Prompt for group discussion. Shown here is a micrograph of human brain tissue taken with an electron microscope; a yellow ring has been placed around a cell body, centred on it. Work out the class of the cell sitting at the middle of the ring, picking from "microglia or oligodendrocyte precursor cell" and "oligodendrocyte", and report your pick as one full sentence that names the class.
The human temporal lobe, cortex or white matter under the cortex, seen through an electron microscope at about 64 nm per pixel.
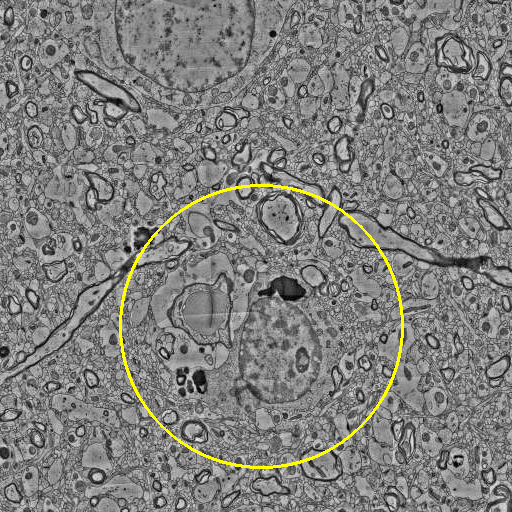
The cell sitting at the middle of the yellow ring is an oligodendrocyte.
